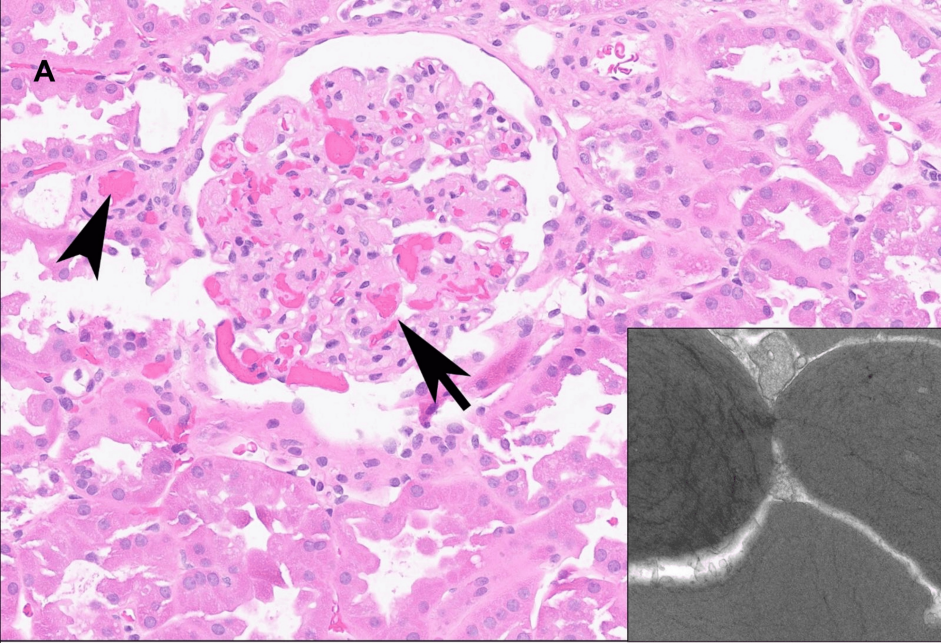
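This is kidney cortex with a glomerulus in the center, surrounded by tubules lined by pink cuboidal epithelium. Many glomerular capillary loops are filled by dense, bright red, homogeneous plugs of packed red blood cells that take the shape of the vessels. A small vessel at the left also contains a similar compact red plug. The surrounding tubules look largely intact, with round nuclei and pink cytoplasm. The inset shows at high magnification electron-dense red cells pressed against each other, with thin pale boundaries between them.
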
